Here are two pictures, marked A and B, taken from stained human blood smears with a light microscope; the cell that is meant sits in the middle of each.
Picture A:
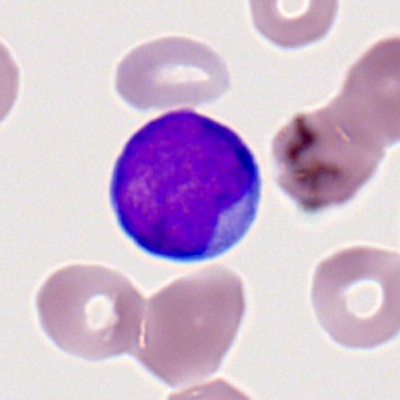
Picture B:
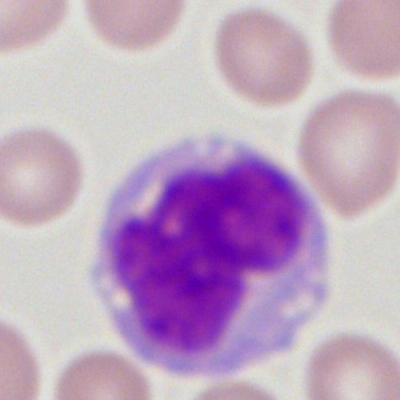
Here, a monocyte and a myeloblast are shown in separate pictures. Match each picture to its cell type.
A: myeloblast
B: monocyte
